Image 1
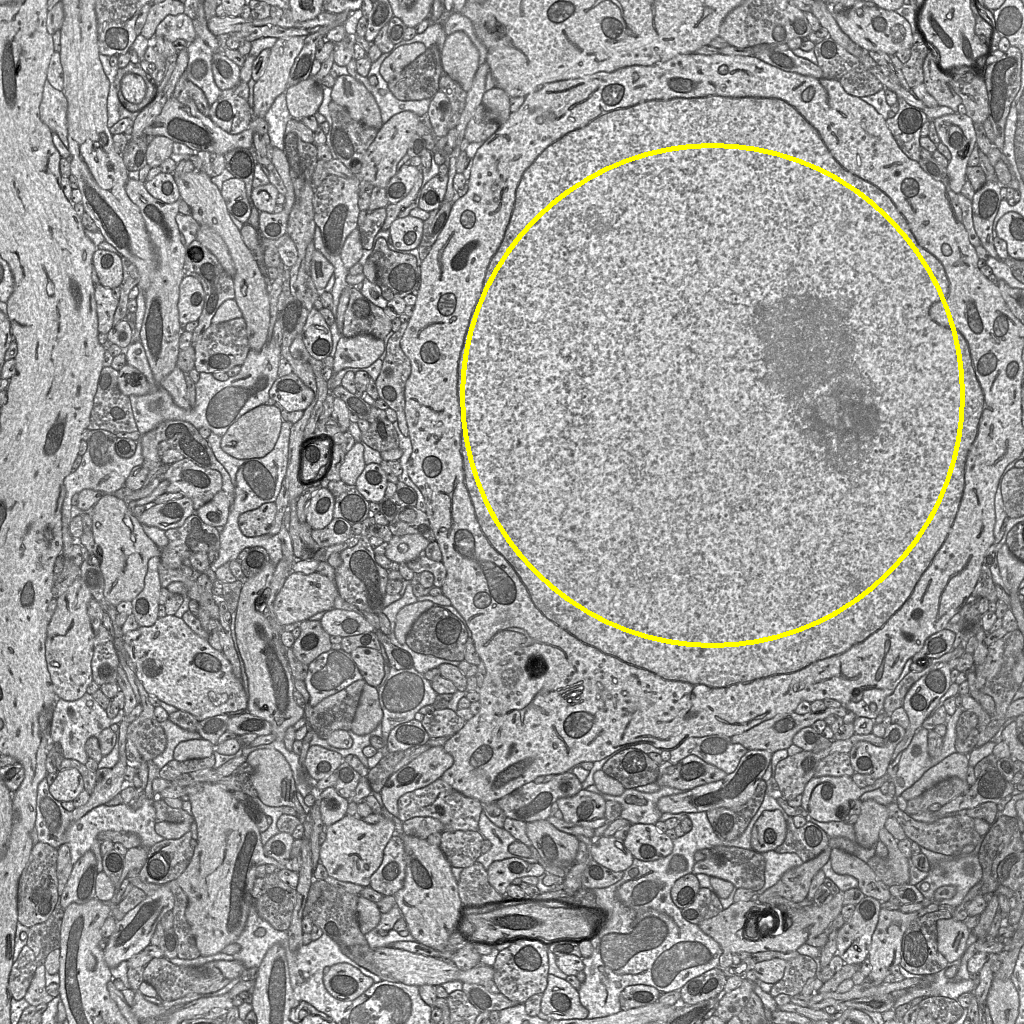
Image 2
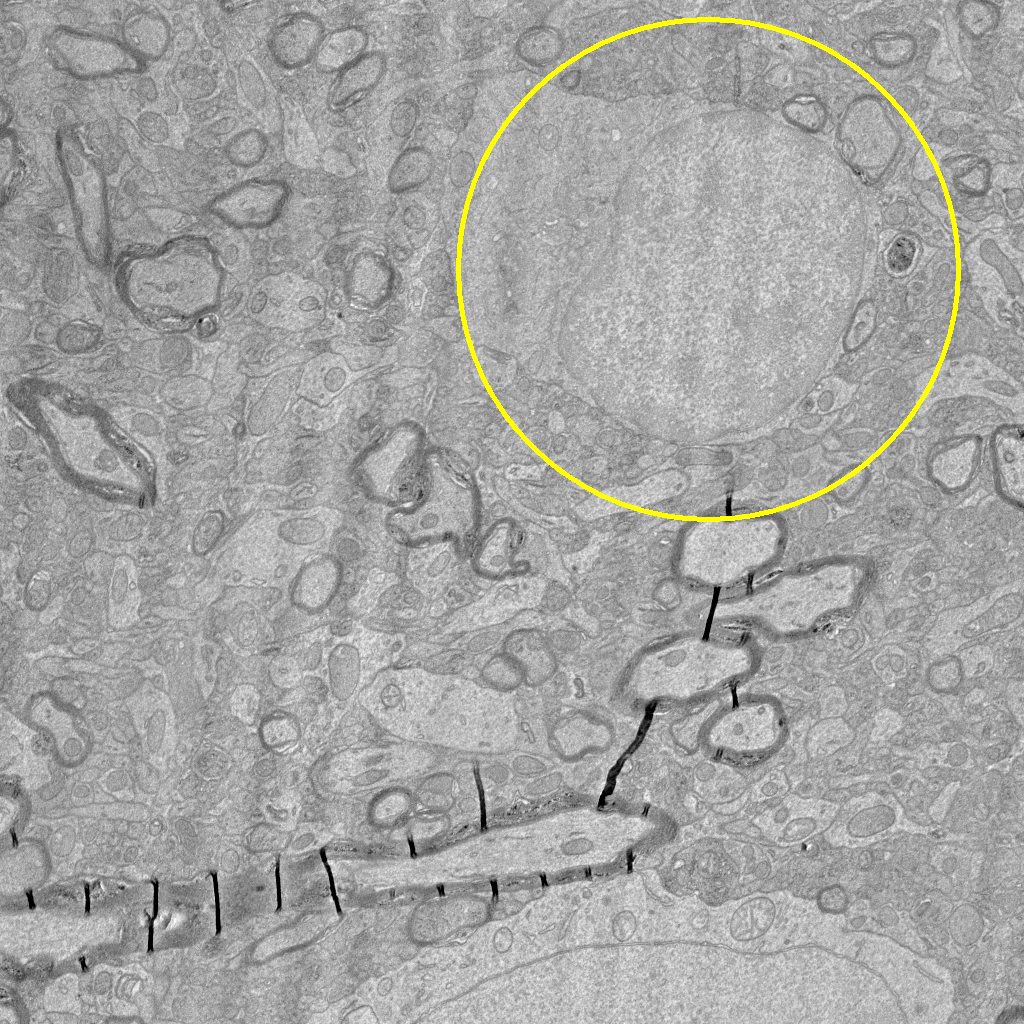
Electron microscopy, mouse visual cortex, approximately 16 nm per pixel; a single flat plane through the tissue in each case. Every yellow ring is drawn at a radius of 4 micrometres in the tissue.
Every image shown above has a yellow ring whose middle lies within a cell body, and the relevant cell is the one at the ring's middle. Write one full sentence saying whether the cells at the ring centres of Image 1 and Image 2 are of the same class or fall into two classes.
The cell at the ring's centre in Image 1 and its counterpart in Image 2 fall into two classes.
